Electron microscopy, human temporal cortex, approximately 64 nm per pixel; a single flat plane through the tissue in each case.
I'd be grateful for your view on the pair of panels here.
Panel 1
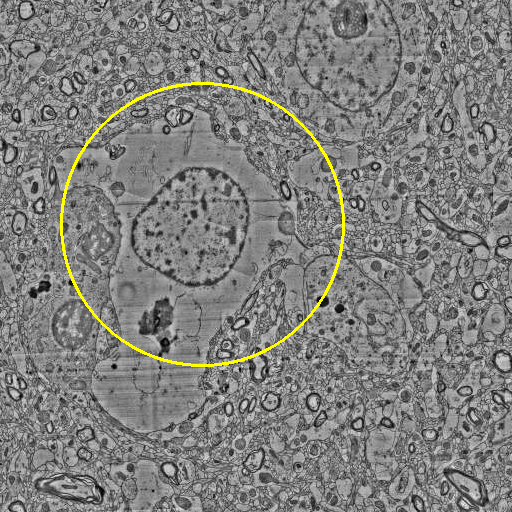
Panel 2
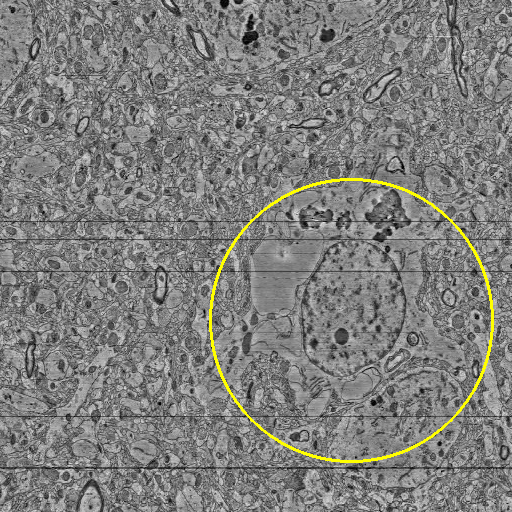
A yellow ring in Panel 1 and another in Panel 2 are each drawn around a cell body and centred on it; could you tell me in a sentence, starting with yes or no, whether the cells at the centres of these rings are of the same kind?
Yes, they are the same kind of cell.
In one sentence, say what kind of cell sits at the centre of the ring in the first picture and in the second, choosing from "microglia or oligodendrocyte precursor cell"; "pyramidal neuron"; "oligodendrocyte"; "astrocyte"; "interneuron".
Each of the two cells is an astrocyte.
